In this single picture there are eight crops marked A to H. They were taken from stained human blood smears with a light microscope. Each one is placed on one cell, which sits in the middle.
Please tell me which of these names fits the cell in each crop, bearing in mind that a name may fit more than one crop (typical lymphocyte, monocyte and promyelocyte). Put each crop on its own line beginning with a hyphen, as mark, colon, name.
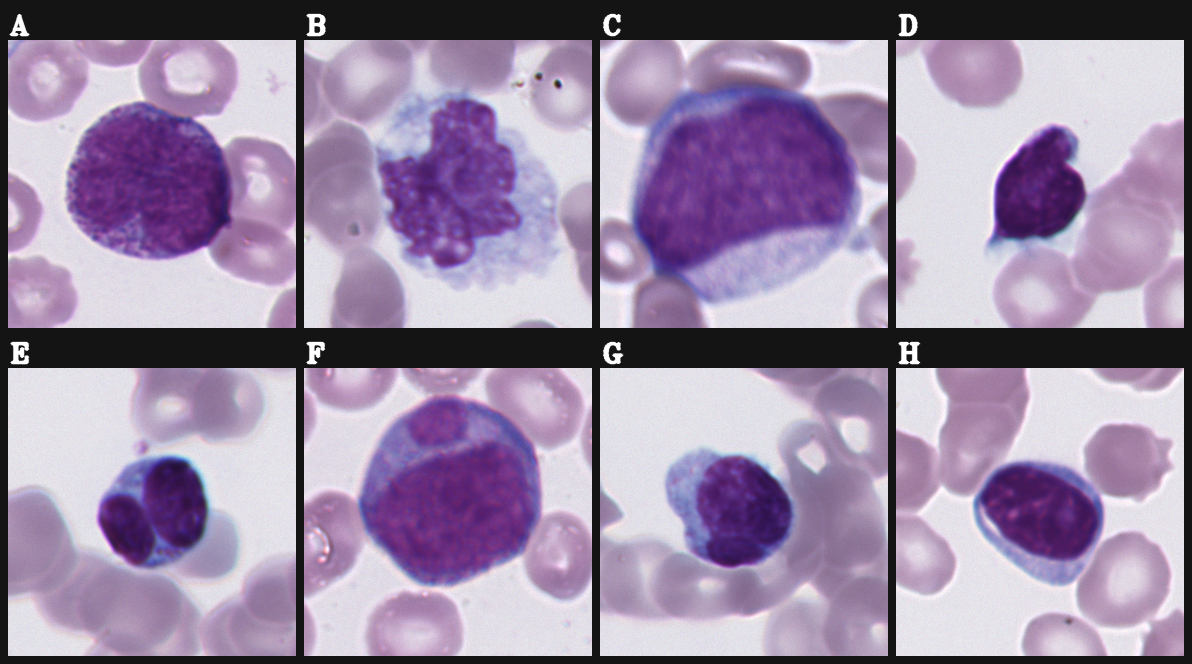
- A: promyelocyte
- B: monocyte
- C: promyelocyte
- D: typical lymphocyte
- E: typical lymphocyte
- F: promyelocyte
- G: typical lymphocyte
- H: typical lymphocyte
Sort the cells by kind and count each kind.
typical lymphocyte: 4
promyelocyte: 3
monocyte: 1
